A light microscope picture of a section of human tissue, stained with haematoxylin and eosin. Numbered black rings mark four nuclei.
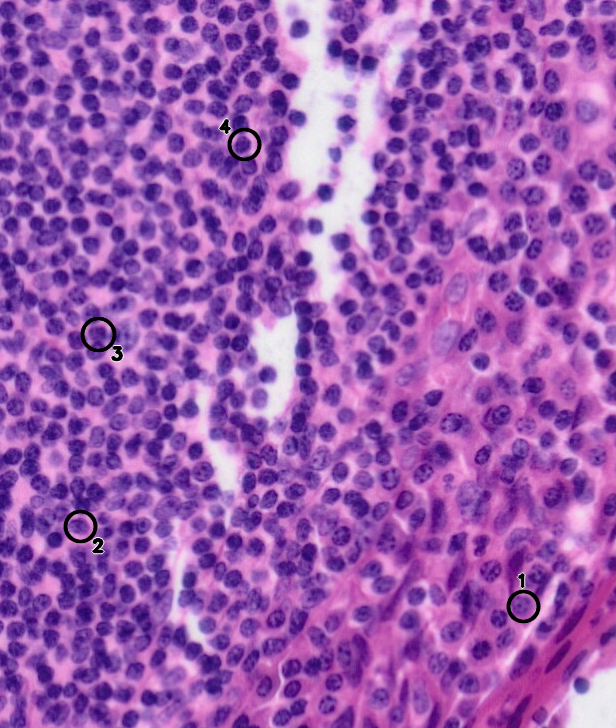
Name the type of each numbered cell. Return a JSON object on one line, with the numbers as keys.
{"1": "plasma cell", "2": "small lymphocyte", "3": "small lymphocyte", "4": "small lymphocyte"}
